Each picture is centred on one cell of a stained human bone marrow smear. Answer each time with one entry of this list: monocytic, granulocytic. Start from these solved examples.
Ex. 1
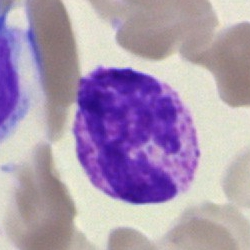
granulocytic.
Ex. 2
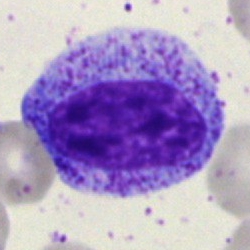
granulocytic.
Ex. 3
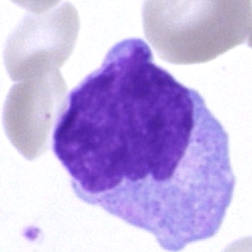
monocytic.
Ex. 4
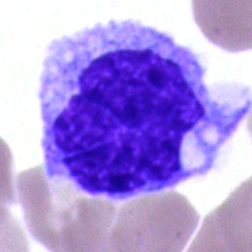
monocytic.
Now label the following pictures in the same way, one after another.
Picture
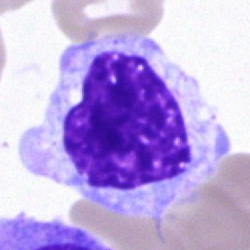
monocytic.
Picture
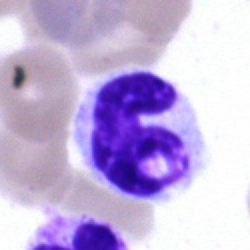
granulocytic.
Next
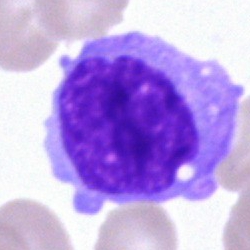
monocytic.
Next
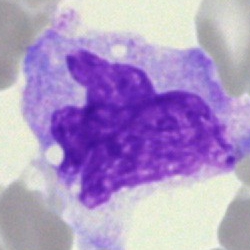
monocytic.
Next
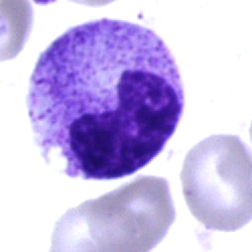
granulocytic.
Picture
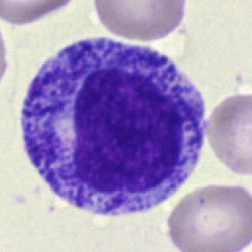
granulocytic.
